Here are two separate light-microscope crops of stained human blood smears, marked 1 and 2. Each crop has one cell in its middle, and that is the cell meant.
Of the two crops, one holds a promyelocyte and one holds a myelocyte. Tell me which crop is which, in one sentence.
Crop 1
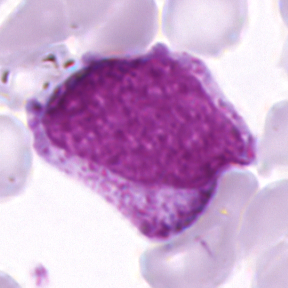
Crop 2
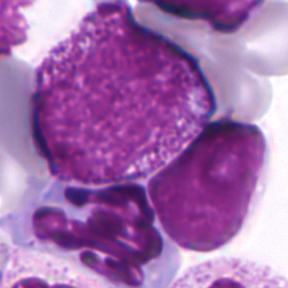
It is a promyelocyte that crop 1 shows, and a myelocyte that crop 2 shows.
